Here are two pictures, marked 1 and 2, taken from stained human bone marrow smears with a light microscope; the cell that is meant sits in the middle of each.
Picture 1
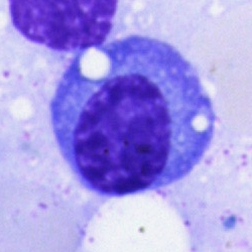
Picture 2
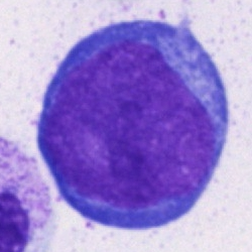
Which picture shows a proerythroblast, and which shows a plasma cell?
1: plasma cell
2: proerythroblast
